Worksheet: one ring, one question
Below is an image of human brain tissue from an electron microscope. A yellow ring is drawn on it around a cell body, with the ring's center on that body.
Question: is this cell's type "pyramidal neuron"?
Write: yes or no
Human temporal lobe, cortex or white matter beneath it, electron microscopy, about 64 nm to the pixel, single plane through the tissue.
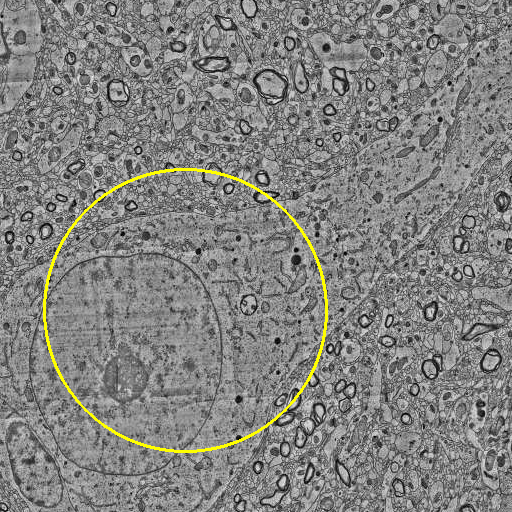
yes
